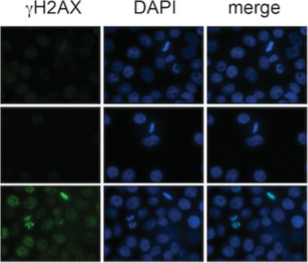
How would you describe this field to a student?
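A grid of nine small fluorescence fields shows cultured cells in a dense monolayer, arranged in three rows, each with a green channel, a blue nuclear channel and a merged image. The nuclei are round to oval and closely spaced, and a few cells show compact, brightly blue condensed chromatin rather than a rounded nucleus. In the upper two rows the green signal is faint or nearly absent.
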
